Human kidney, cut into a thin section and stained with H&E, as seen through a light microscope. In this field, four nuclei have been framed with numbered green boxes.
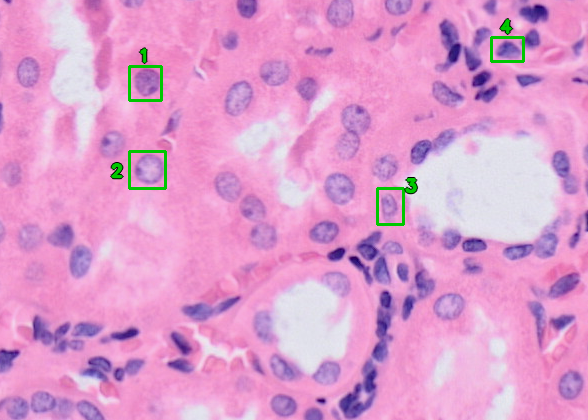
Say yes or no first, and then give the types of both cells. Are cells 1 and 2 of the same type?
Yes, the cells bearing numbers 1 and 2 are both proximal tubule cells.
